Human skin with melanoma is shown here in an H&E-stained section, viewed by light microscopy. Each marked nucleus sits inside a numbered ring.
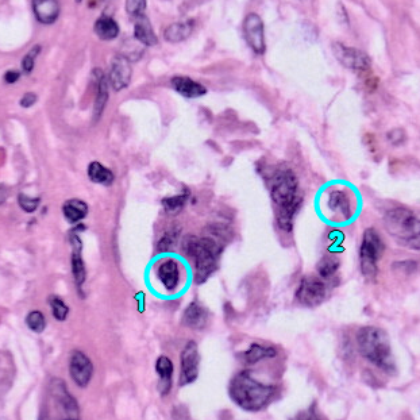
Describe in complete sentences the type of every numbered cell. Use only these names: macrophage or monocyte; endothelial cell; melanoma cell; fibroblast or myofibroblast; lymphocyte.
Cell 1 is a lymphocyte and cell 2 is a melanoma cell.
